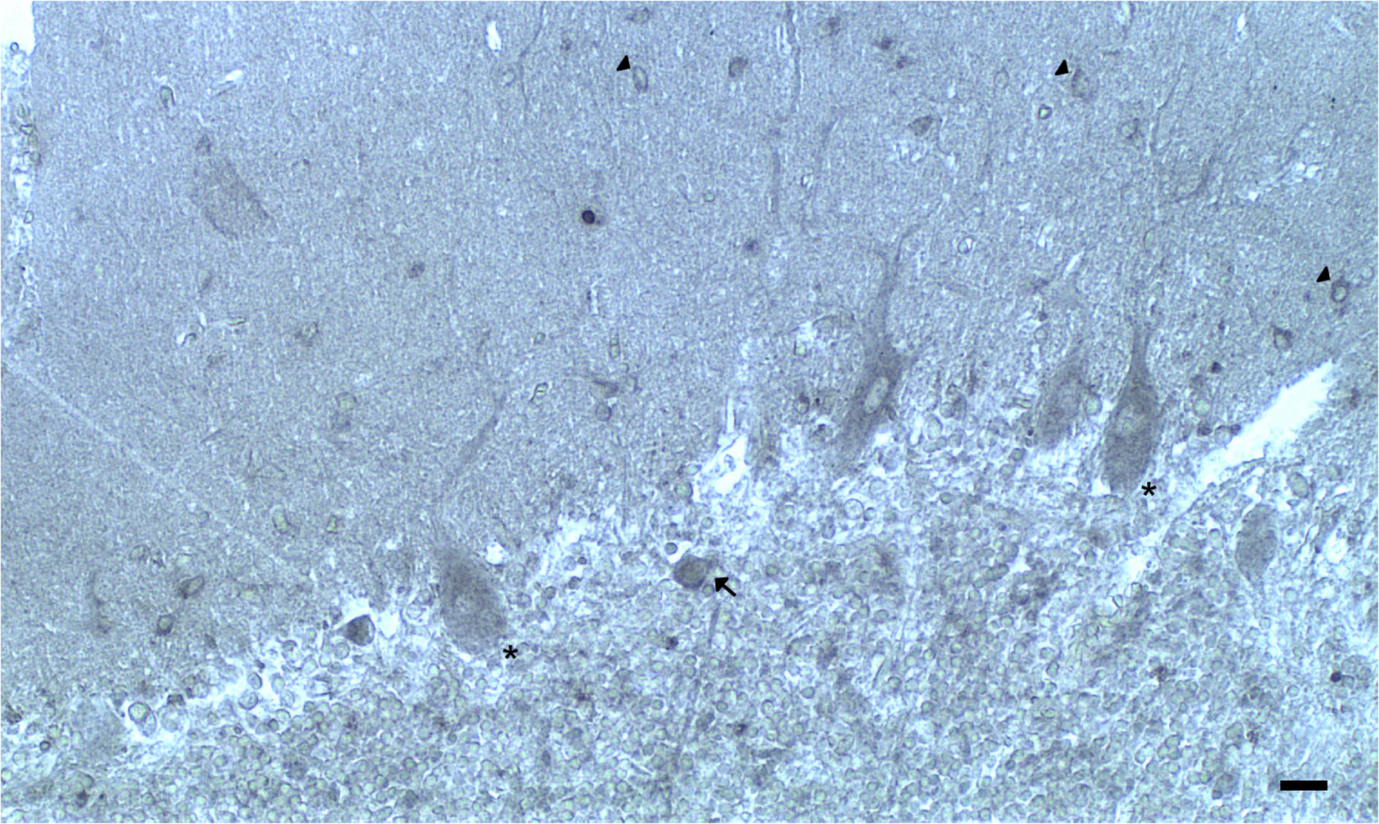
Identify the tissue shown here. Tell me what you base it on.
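Cerebellar cortex. A sparsely cellular upper layer lies above a single row of large flask-shaped cell bodies. Below that row is a layer densely packed with small round cells. Thick dendrites run upward from the large cell bodies into the upper layer.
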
